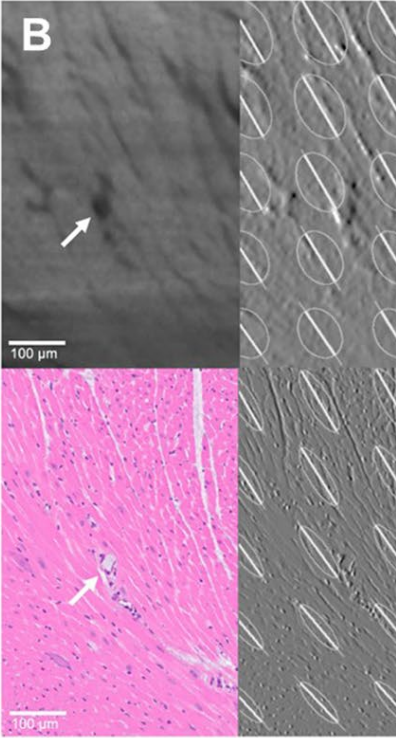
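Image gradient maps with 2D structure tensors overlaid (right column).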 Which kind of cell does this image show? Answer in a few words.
Cardiomyocytes.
